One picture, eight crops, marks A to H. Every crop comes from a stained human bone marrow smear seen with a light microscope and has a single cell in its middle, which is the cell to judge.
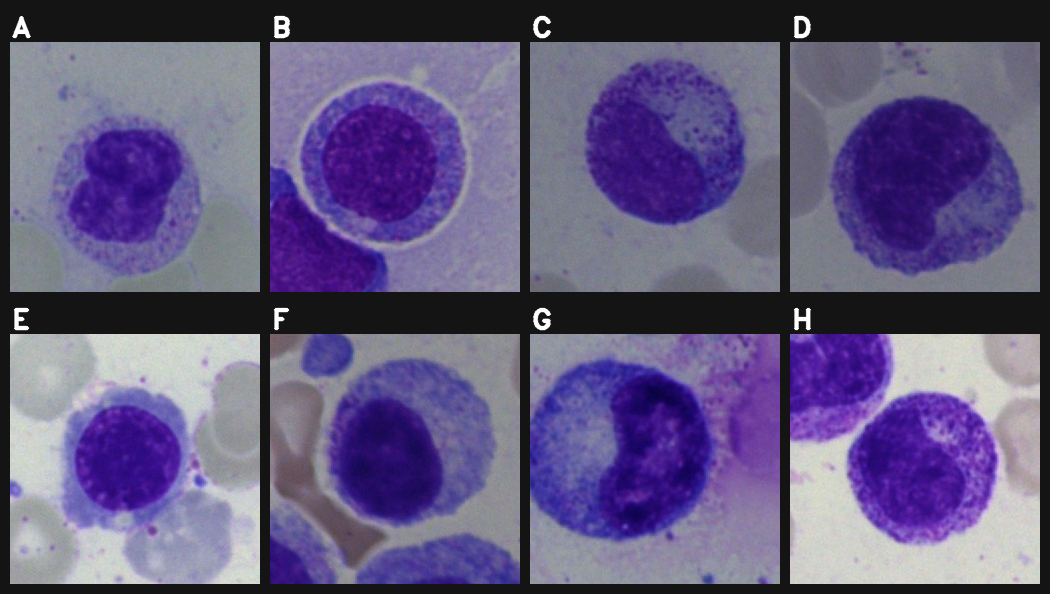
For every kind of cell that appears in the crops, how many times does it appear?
myelocyte: 4
metamyelocyte: 3
normoblast: 1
